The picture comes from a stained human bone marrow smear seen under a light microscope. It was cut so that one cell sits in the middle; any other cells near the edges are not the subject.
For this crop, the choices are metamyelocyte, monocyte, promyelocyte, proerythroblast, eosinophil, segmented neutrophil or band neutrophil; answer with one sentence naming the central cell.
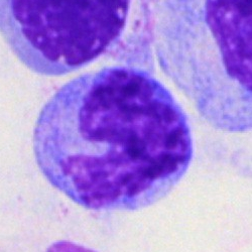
Occupying the centre of the crop is a monocyte.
